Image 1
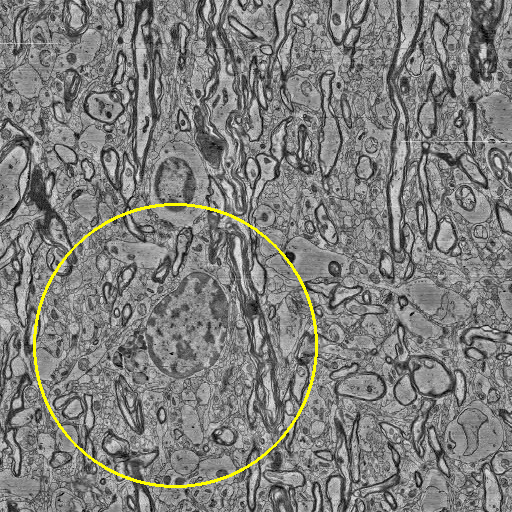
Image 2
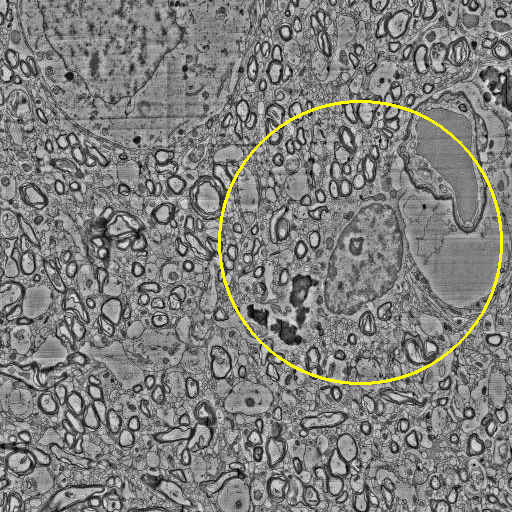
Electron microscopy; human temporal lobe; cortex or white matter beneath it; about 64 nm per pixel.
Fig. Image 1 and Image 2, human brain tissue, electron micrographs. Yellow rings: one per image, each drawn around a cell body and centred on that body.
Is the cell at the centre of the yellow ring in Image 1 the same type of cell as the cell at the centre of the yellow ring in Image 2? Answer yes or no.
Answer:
no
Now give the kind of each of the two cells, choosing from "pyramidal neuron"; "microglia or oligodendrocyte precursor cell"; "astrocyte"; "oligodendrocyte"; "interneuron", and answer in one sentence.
The cell in the first picture is a microglial cell or oligodendrocyte precursor cell, and the cell in the second is an oligodendrocyte.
